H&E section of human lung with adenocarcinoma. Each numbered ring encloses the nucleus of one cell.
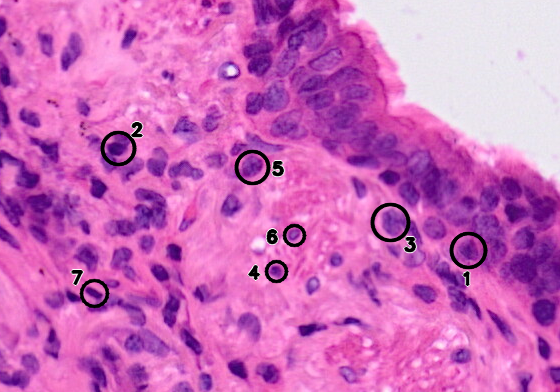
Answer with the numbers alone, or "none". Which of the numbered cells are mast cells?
5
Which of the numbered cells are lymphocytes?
2, 3, 7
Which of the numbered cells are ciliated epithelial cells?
1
